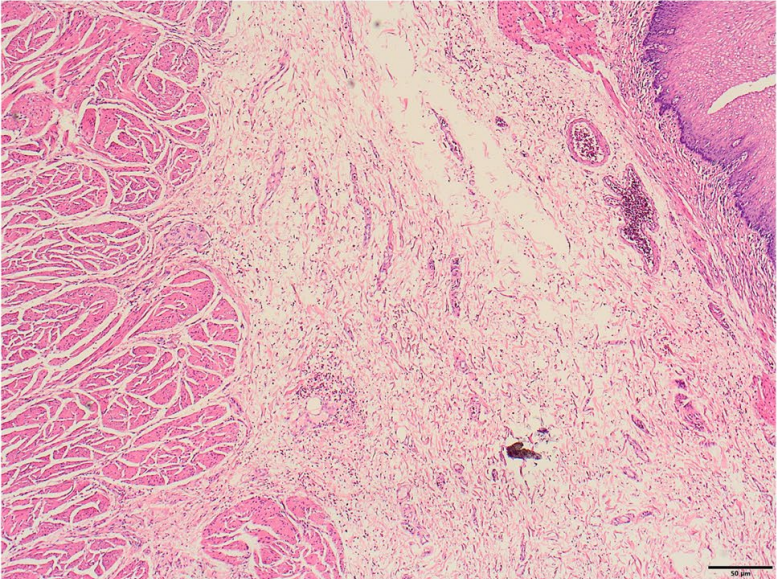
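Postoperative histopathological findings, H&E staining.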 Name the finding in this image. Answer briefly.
proliferation of fibrous connective tissue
